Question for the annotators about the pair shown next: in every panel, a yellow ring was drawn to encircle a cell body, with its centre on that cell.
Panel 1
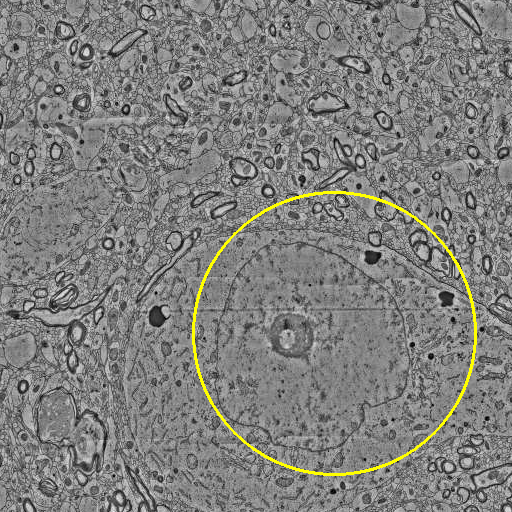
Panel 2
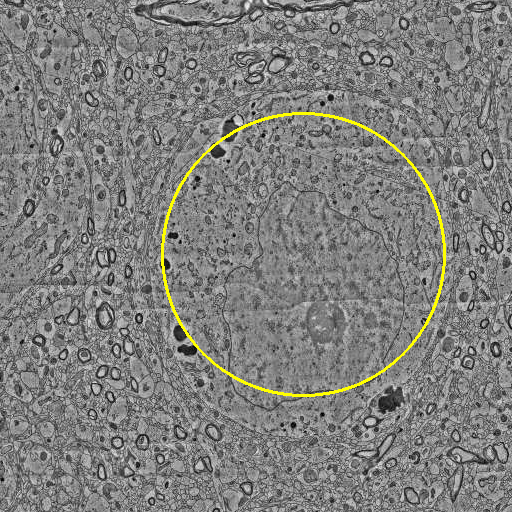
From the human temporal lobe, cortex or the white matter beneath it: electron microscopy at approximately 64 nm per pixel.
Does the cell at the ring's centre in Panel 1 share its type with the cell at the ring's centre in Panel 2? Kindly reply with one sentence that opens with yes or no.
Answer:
Yes, in Panels 1 and 2 the cells at the ring centres belong to a single type.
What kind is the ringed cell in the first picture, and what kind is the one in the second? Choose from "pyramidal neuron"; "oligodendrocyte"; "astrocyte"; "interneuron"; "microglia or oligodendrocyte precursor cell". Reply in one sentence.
Each of the two rings surrounds a pyramidal neuron.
